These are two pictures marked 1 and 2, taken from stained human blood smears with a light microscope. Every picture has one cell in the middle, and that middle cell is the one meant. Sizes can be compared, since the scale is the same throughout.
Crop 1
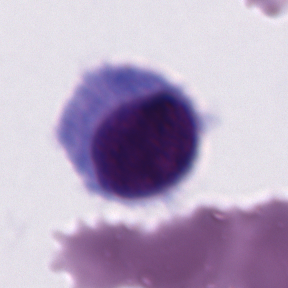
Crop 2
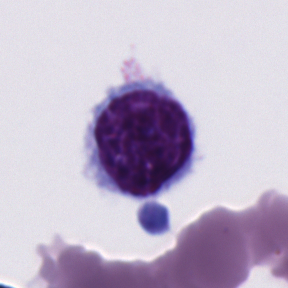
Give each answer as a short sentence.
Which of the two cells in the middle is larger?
The cell in crop 1 is larger, with about 1.5 times the area of the one in crop 2.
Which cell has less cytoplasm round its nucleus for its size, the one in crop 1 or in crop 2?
The nucleus fills more of the cell in crop 2 than in crop 1.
